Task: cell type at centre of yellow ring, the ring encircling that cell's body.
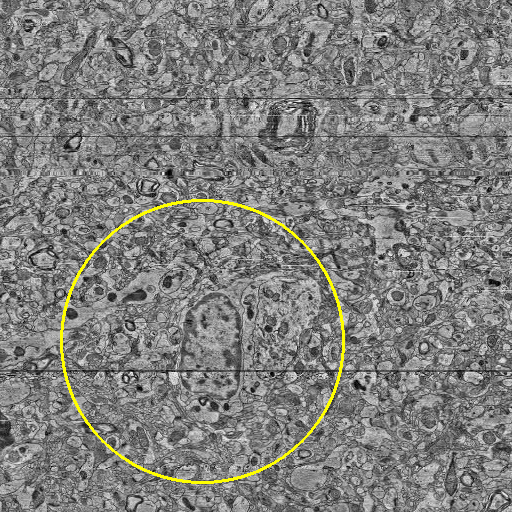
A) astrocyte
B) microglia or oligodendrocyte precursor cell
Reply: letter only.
B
